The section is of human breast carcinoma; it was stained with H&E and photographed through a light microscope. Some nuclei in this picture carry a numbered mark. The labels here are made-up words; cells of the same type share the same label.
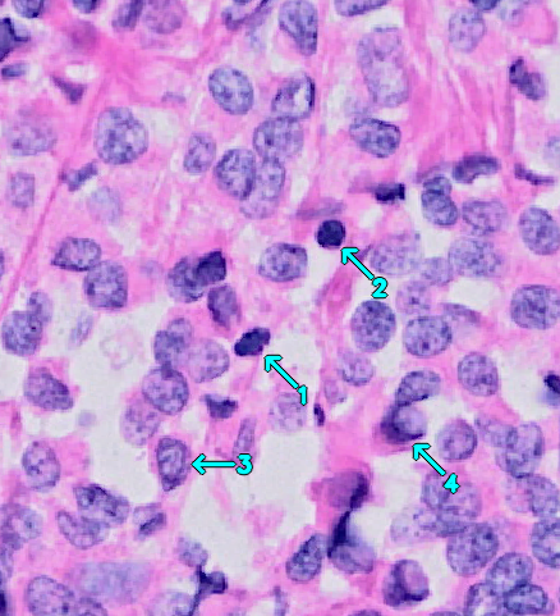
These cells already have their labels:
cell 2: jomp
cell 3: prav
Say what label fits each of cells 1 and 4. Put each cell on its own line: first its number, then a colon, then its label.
1: jomp
4: prav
